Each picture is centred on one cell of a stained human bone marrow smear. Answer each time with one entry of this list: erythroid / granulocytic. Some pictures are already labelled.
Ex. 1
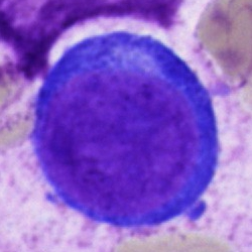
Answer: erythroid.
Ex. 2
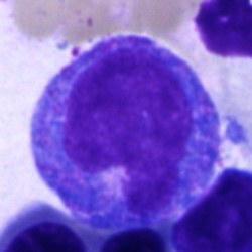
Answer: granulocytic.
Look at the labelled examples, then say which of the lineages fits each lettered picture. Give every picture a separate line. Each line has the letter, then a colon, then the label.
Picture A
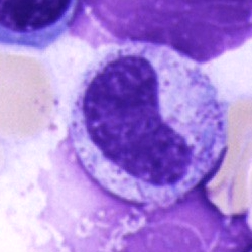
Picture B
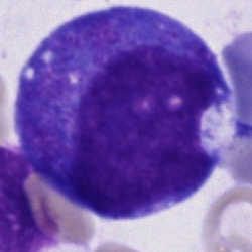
A: granulocytic.
B: granulocytic.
